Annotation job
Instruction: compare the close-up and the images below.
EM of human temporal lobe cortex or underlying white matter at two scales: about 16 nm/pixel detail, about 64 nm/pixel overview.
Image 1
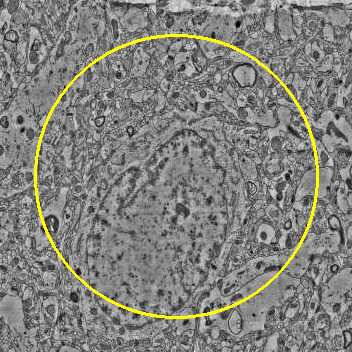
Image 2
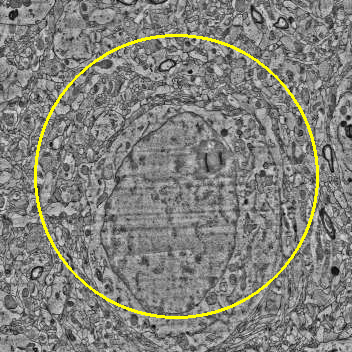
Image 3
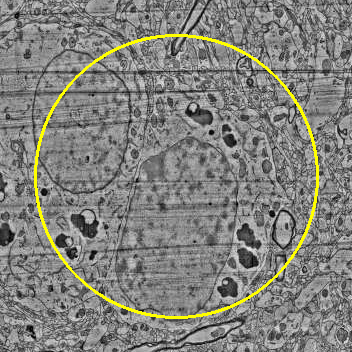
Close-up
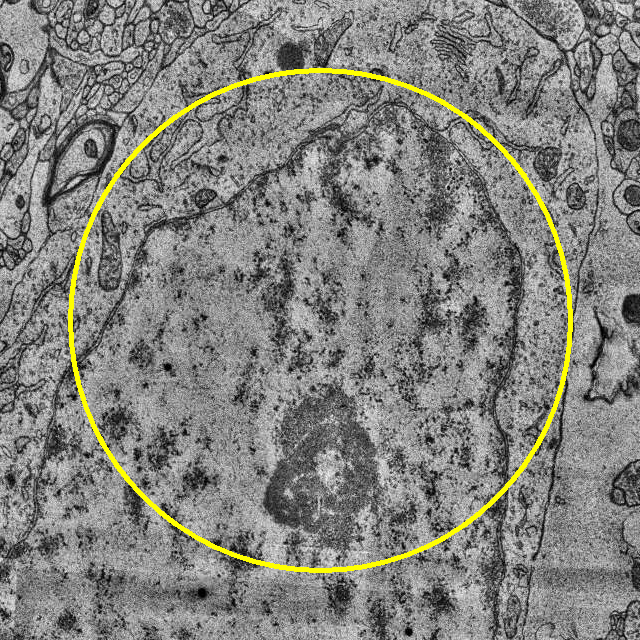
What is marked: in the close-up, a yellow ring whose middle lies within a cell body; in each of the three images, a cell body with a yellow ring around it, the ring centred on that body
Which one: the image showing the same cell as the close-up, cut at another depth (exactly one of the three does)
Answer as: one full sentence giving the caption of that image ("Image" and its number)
The close-up corresponds to the yellow-ringed cell in Image 1.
